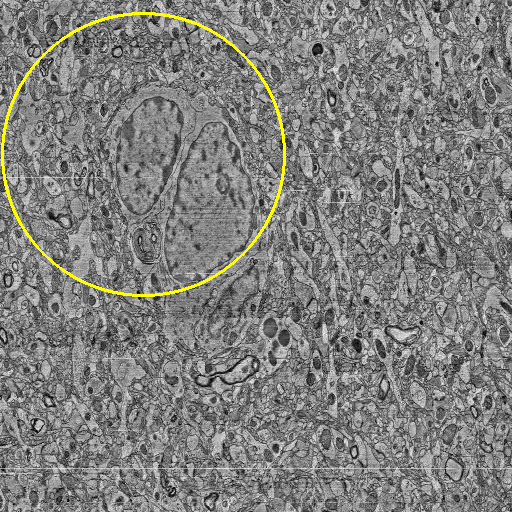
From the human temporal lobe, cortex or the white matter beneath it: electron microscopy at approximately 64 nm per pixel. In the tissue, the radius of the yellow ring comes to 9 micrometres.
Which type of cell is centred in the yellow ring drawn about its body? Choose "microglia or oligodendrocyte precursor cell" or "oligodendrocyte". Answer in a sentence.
The yellow ring surrounds the cell body of a microglial cell or oligodendrocyte precursor cell.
